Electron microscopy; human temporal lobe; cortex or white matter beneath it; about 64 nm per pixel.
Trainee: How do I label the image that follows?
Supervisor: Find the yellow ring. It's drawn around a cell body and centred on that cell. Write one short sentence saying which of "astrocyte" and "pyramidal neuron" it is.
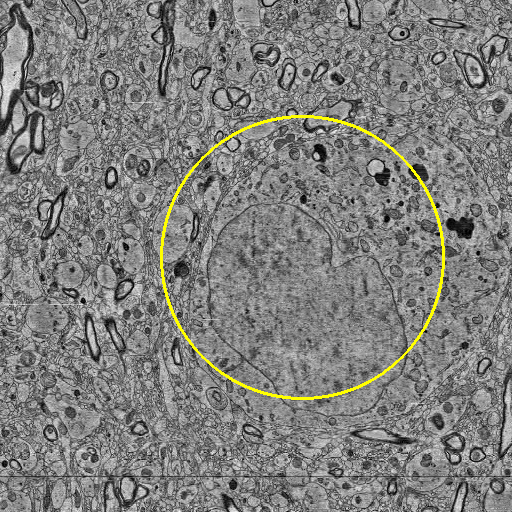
This is the cell body of a pyramidal neuron.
